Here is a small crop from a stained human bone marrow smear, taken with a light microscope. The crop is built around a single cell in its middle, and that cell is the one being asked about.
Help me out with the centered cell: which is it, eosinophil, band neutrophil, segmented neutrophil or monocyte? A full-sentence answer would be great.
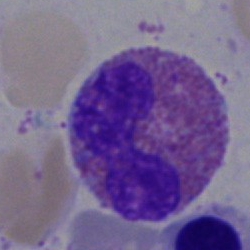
The middle of this crop holds an eosinophil.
